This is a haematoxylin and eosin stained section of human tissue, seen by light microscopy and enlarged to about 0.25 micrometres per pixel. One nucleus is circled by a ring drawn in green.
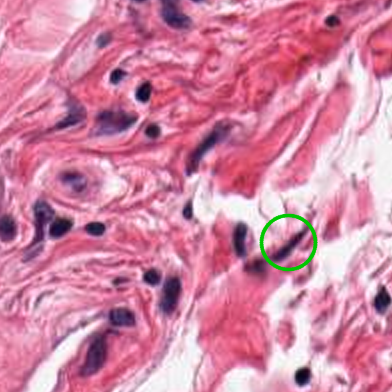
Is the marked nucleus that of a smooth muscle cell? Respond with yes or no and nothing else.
no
